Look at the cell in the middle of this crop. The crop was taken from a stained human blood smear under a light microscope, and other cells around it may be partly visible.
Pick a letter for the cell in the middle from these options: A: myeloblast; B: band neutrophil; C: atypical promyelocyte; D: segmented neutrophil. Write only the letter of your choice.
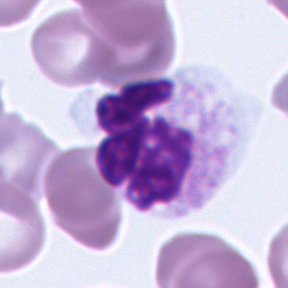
D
